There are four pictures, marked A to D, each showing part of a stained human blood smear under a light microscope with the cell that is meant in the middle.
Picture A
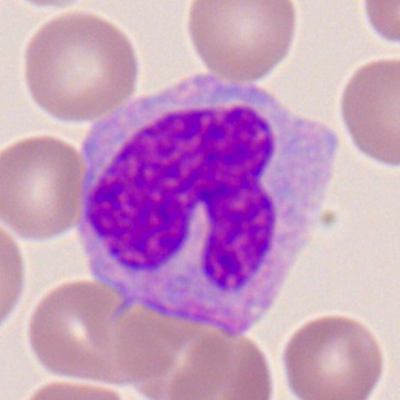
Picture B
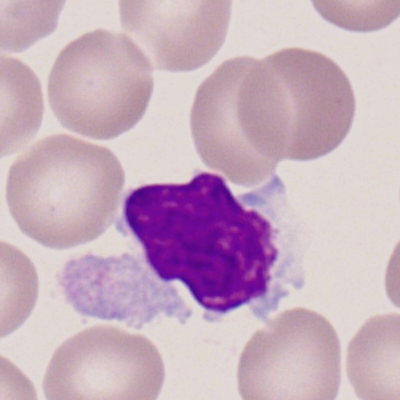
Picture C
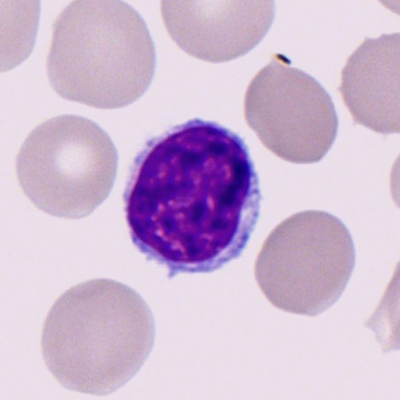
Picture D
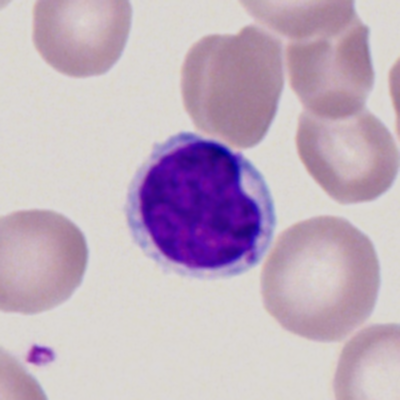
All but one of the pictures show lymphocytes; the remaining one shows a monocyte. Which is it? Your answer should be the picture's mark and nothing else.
A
